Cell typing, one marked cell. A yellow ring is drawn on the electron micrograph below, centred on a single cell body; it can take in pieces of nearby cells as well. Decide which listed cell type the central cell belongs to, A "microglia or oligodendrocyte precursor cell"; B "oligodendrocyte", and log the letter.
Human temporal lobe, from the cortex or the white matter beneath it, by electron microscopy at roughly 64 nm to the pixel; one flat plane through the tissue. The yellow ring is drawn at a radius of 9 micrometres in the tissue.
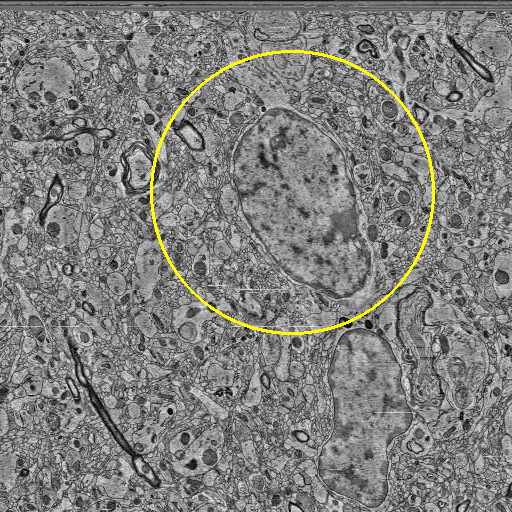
A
